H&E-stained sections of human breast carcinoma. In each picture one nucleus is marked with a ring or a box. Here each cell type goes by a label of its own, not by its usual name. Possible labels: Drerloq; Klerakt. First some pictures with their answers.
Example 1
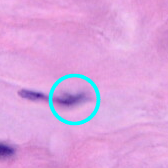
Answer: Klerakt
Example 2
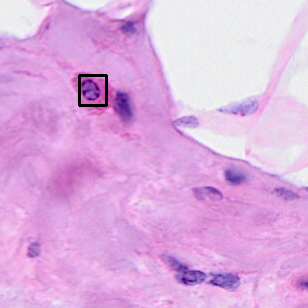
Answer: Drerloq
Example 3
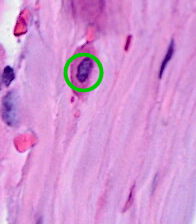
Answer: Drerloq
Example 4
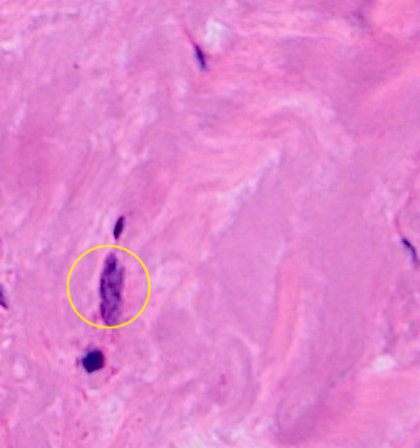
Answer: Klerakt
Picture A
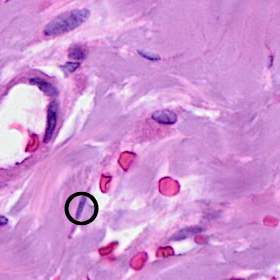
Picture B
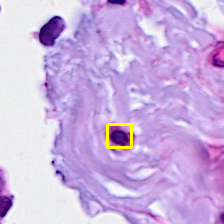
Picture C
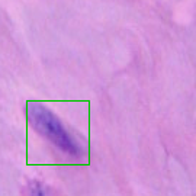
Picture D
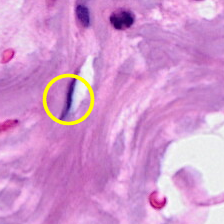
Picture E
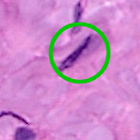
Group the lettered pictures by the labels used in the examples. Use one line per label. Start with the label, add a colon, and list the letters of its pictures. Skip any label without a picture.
Drerloq: B
Klerakt: A, C, D, E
